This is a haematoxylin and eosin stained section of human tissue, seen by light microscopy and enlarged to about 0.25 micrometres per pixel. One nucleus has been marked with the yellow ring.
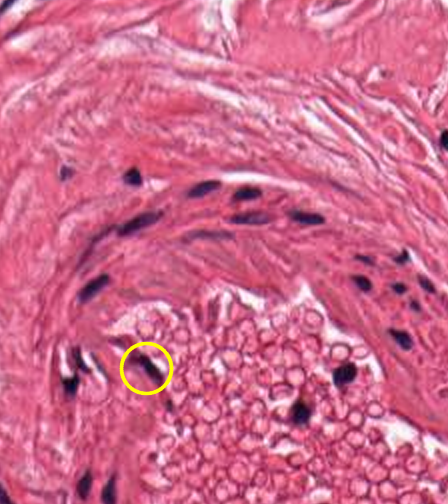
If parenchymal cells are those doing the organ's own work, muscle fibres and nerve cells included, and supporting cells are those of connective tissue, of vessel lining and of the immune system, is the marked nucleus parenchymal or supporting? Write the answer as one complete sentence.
The nucleus that is marked belongs to a supporting cell.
